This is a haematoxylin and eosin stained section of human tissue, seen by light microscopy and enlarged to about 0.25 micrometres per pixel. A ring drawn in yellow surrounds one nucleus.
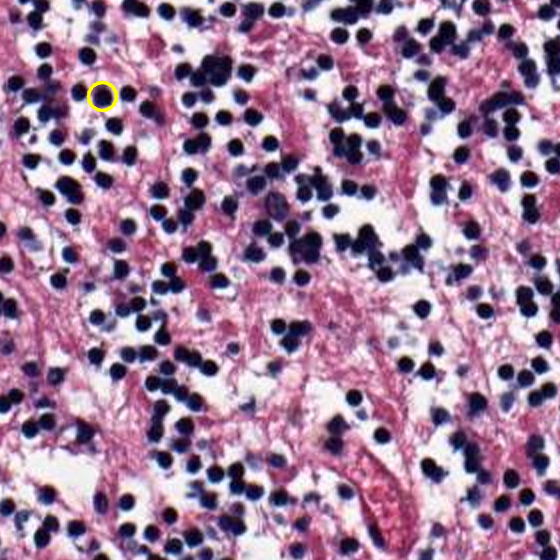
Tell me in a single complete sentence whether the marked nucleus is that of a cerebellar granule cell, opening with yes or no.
Yes, the cell whose nucleus is marked is a cerebellar granule cell.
